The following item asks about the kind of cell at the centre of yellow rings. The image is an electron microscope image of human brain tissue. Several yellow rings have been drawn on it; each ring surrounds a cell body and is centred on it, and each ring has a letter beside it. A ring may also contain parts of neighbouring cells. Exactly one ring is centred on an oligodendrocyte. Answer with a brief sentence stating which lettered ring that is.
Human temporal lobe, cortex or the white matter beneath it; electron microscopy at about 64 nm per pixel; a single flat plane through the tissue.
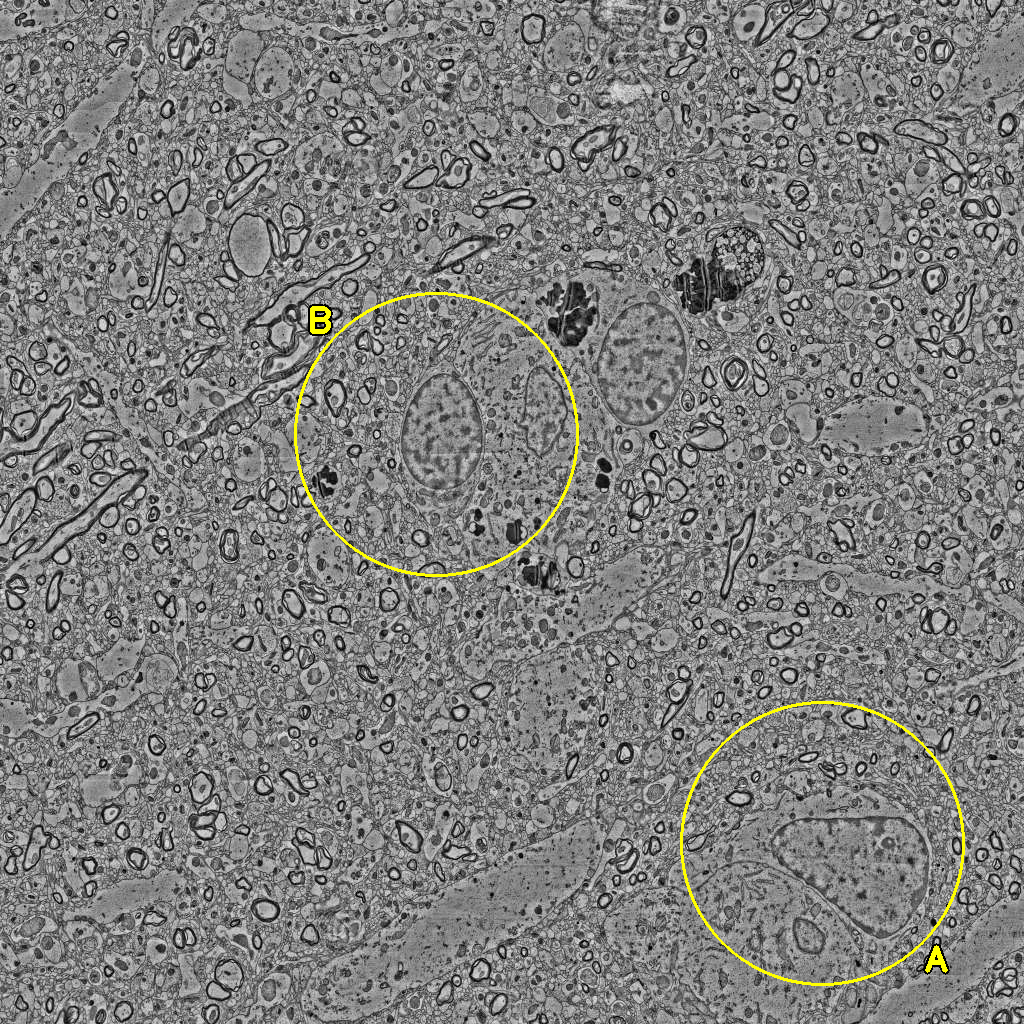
That is ring B.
